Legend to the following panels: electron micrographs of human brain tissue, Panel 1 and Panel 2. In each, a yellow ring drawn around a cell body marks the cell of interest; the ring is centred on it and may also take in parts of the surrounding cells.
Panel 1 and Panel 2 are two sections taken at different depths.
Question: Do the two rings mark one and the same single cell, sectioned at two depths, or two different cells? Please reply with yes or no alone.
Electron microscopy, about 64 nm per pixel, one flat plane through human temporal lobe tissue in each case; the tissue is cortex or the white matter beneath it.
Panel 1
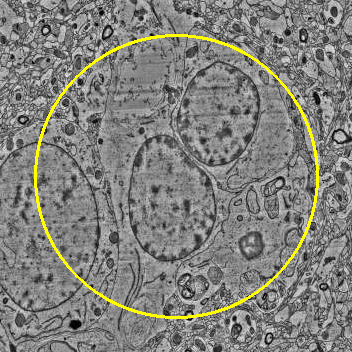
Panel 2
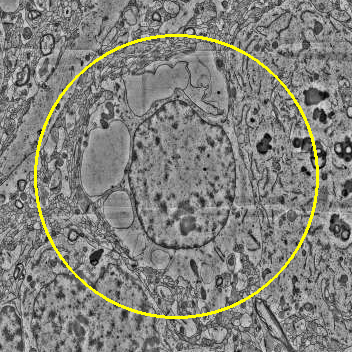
no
